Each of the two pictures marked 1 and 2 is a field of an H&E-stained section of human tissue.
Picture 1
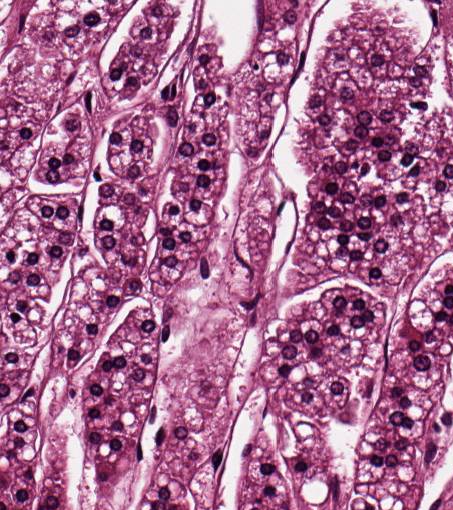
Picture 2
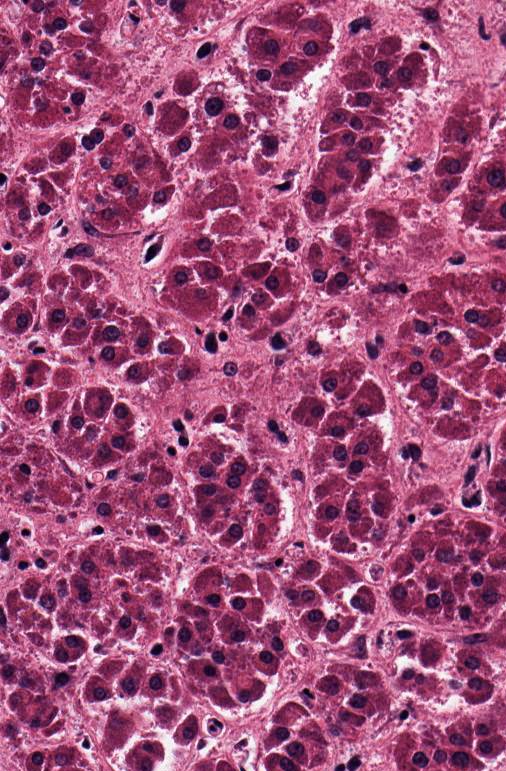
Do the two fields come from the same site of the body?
yes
